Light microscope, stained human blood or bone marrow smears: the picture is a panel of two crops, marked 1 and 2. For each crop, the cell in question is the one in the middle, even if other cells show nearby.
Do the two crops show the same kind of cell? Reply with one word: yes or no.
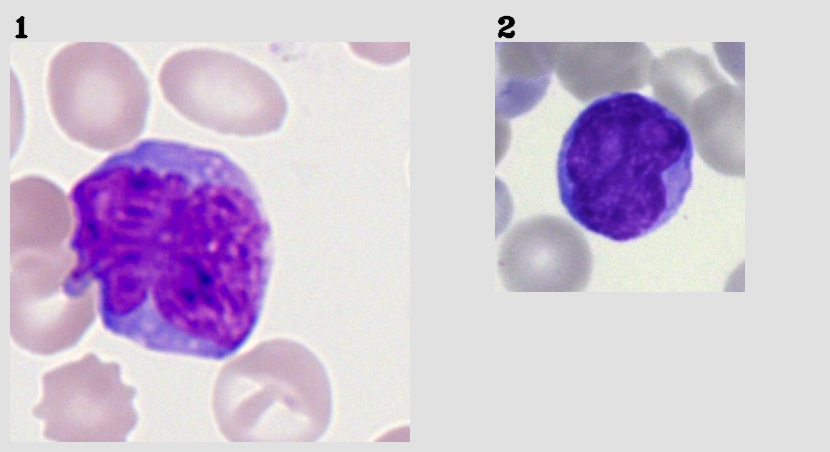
yes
